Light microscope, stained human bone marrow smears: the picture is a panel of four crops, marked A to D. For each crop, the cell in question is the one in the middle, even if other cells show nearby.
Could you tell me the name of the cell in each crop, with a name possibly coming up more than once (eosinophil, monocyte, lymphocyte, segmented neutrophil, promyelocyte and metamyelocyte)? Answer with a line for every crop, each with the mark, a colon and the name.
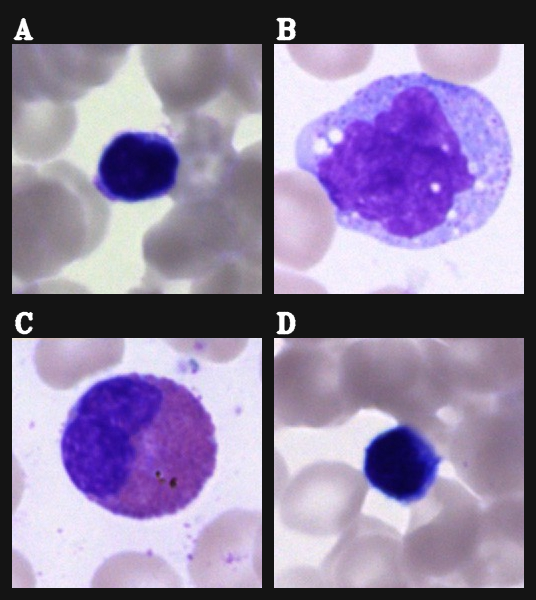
A: lymphocyte
B: monocyte
C: eosinophil
D: lymphocyte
